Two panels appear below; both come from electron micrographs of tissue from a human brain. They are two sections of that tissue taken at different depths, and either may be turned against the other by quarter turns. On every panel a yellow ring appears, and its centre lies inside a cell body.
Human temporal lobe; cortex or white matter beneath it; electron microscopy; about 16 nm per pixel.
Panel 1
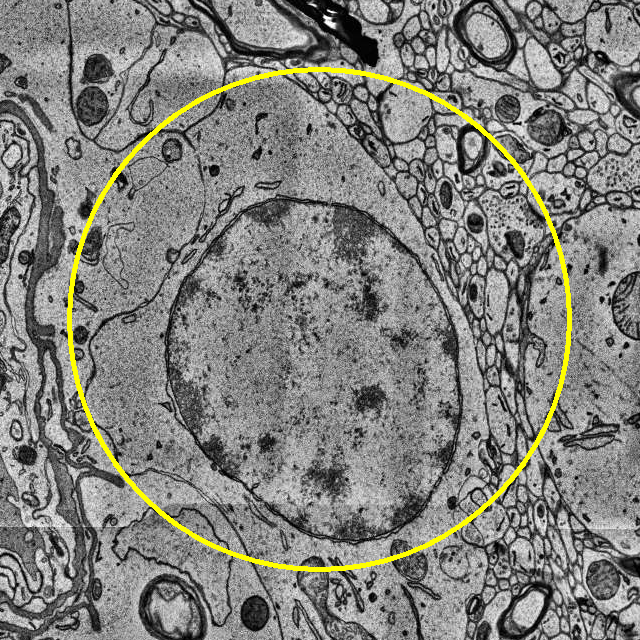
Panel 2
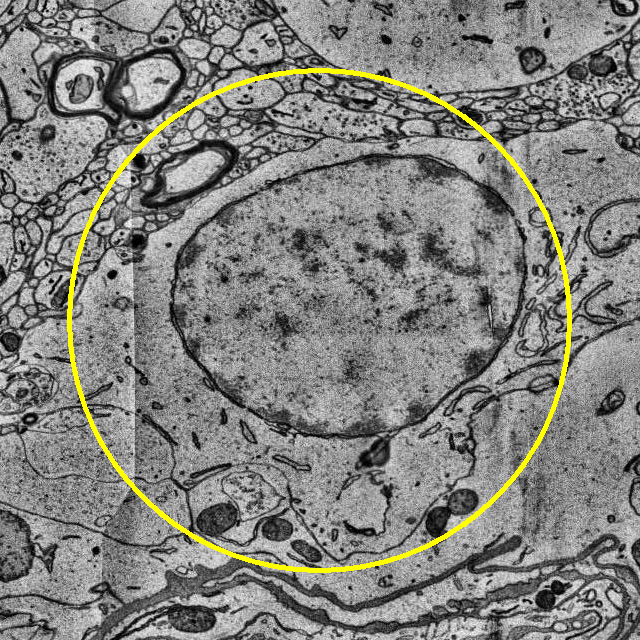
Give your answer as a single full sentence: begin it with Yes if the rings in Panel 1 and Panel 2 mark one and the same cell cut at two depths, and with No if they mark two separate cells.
Yes, the rings do not mark different cells but one cell.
